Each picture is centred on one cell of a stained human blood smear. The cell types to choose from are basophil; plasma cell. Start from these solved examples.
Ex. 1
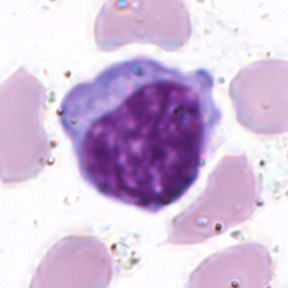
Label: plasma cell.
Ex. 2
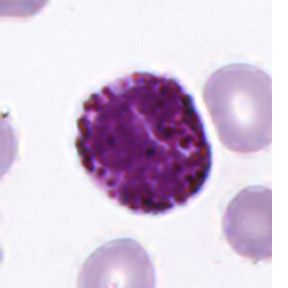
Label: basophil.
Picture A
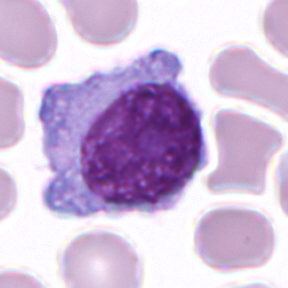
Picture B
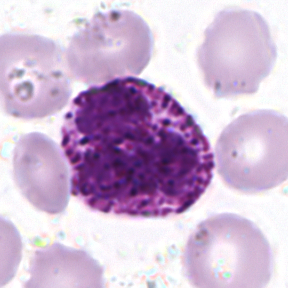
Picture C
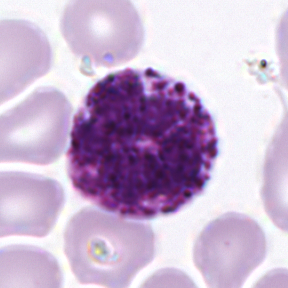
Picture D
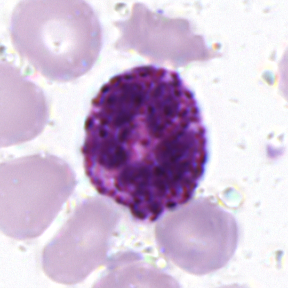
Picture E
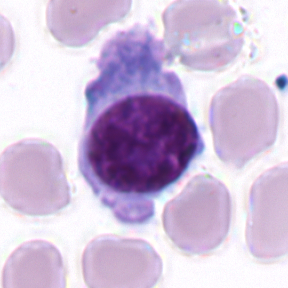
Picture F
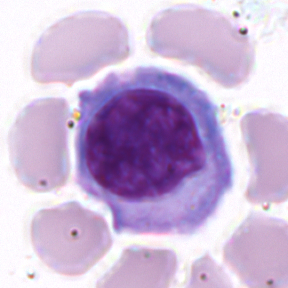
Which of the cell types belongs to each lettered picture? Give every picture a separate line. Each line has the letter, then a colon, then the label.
A: plasma cell.
B: basophil.
C: basophil.
D: basophil.
E: plasma cell.
F: plasma cell.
